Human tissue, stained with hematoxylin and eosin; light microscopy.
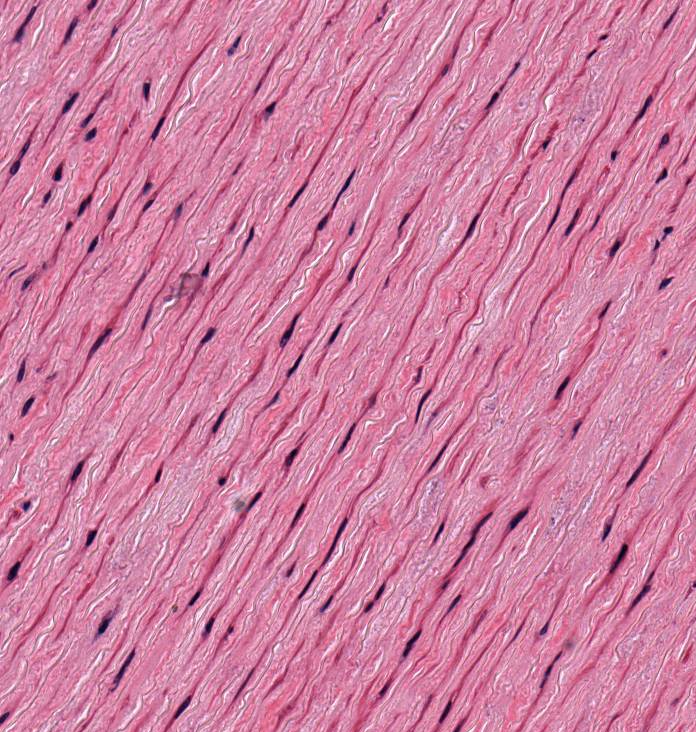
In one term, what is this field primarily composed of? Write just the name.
tunica media of an artery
